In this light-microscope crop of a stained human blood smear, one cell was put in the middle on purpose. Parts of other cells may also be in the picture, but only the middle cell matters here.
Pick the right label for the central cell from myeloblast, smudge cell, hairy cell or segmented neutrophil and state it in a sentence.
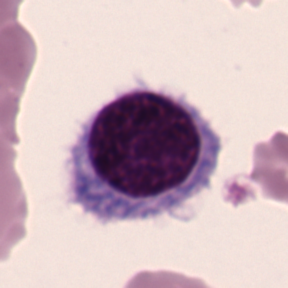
The cell sitting right in the middle is a hairy cell.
